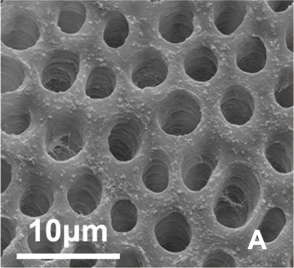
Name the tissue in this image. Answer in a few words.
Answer: Dentin matrix.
